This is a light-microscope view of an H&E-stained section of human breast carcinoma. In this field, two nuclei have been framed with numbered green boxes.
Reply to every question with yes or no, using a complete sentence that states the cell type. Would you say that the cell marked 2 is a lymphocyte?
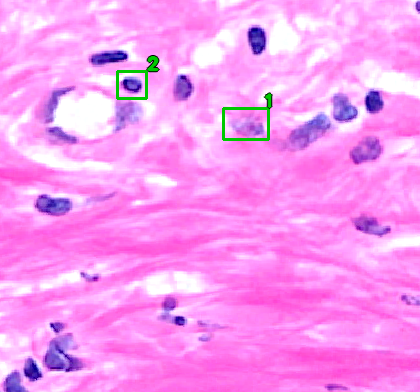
Yes, cell 2 is a lymphocyte in this tissue section.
